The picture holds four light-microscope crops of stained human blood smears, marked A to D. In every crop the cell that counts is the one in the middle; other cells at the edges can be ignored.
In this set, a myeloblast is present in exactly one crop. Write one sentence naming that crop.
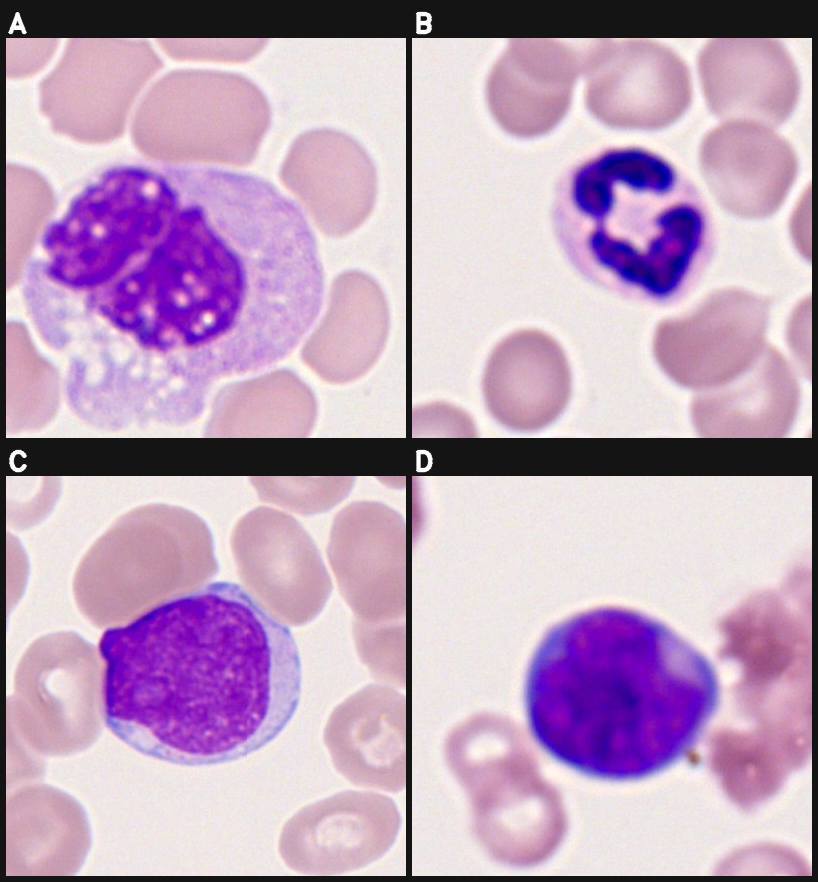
Crop D shows a myeloblast, and no other crop does.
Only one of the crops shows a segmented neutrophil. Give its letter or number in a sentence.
Of the cells presented, the one in crop B is a segmented neutrophil.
